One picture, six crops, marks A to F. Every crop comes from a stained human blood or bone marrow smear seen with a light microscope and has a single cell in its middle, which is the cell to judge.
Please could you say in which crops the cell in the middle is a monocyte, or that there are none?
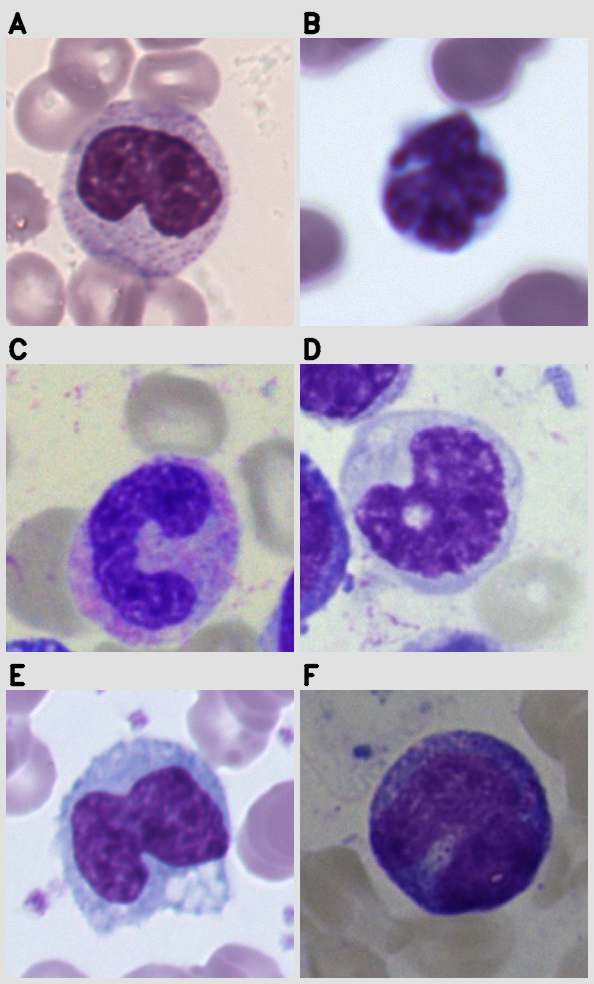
B, D, E, F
